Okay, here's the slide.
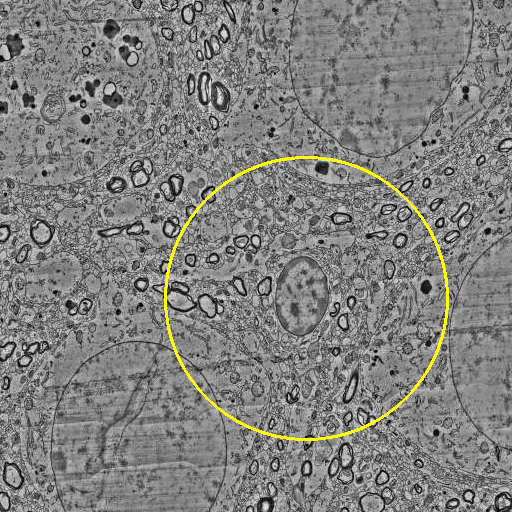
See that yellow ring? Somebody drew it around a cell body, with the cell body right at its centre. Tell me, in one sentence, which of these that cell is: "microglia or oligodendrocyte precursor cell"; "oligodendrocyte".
The cell in the middle of the ring is a microglial cell or oligodendrocyte precursor cell.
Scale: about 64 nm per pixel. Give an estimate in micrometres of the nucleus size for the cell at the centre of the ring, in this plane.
Approximately 5 micrometres long and 3 micrometres wide, in this plane.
